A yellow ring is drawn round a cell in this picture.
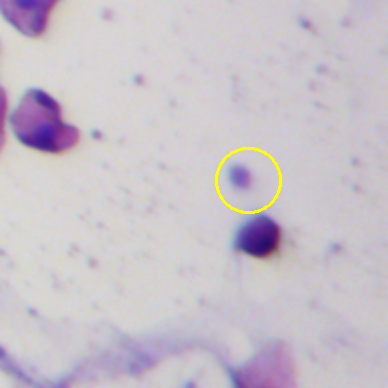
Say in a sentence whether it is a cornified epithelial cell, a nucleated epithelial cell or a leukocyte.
The cell in the ring is a leukocyte.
